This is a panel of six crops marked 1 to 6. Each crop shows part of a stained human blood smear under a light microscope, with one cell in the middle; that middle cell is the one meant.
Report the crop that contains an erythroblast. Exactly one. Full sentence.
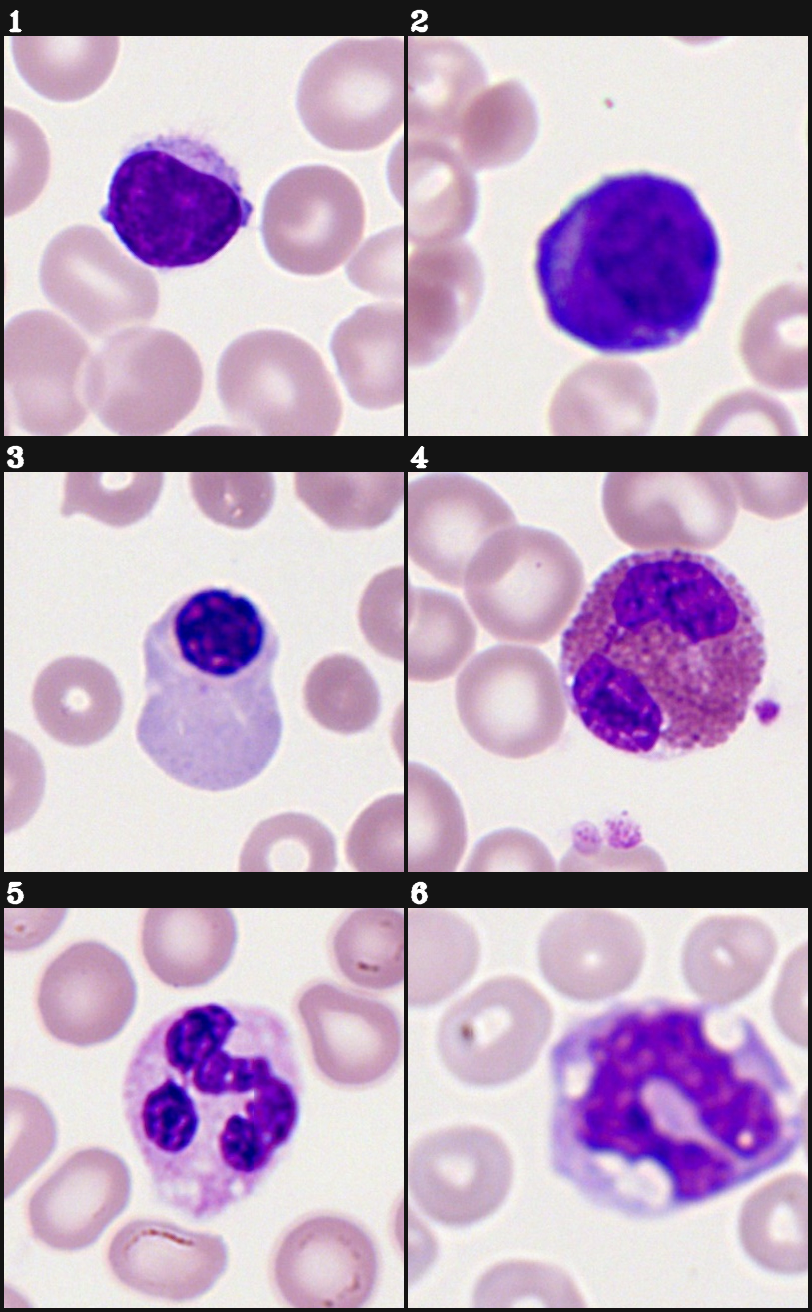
Crop 3 is the crop whose central cell is an erythroblast.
